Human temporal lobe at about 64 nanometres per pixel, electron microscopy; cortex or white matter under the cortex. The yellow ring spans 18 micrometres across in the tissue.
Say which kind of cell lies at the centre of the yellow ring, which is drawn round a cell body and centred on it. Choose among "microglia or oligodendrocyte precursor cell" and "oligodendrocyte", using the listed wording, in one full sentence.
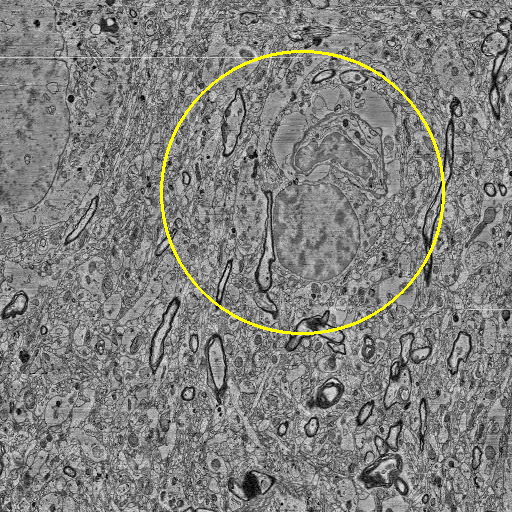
Going by the list, the cell at the yellow ring's centre is an oligodendrocyte.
